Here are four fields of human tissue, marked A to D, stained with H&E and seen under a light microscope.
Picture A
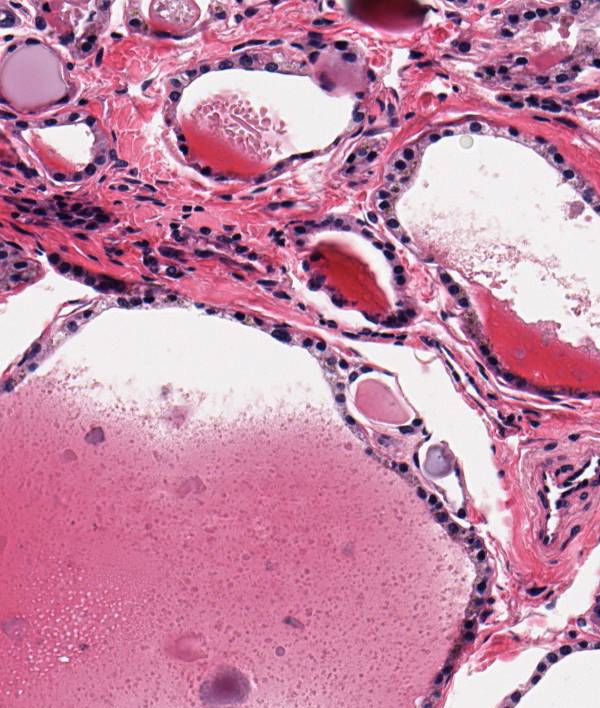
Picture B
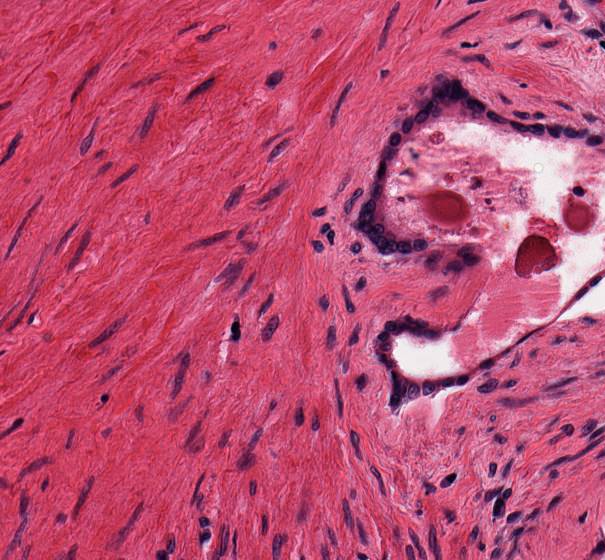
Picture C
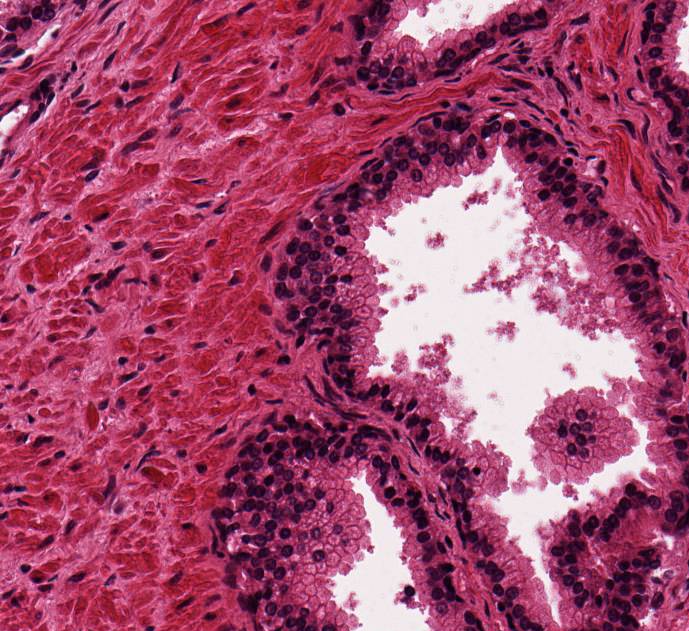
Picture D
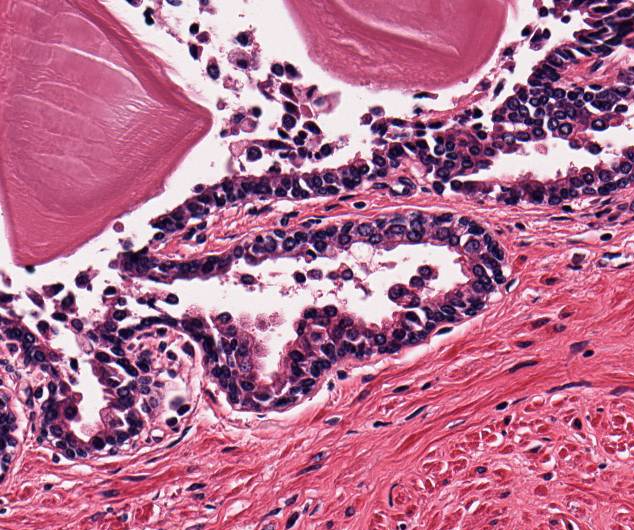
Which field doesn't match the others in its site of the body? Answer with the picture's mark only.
A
